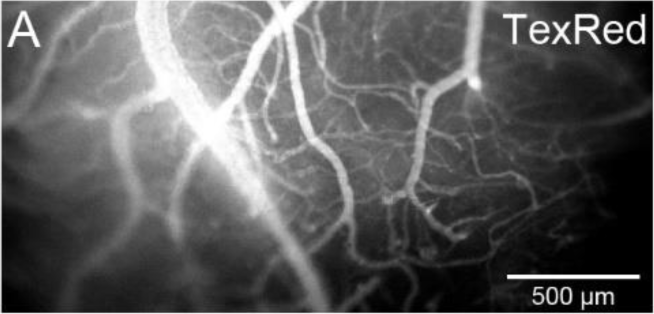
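A few broad vessels run diagonally across the field and branch into progressively finer, tortuous vessels that form a network over the surface. Individual cells cannot be made out at this magnification; only the architecture of the vessel tree is visible.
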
